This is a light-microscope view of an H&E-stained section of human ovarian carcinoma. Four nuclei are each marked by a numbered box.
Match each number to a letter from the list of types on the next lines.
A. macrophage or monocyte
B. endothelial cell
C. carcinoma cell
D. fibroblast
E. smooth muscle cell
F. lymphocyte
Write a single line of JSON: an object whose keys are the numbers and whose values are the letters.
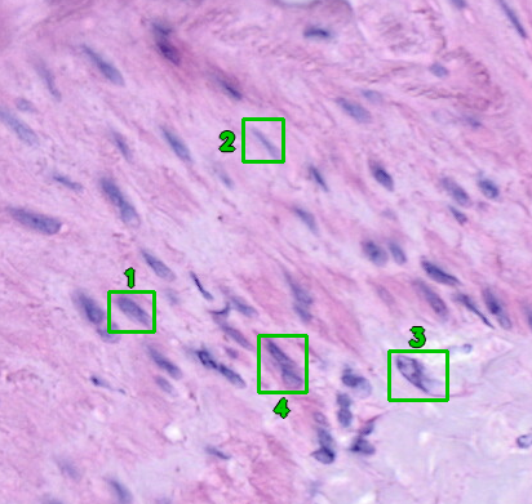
{"1": "E", "2": "E", "3": "D", "4": "E"}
